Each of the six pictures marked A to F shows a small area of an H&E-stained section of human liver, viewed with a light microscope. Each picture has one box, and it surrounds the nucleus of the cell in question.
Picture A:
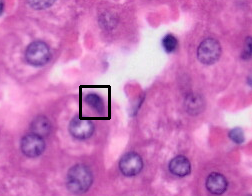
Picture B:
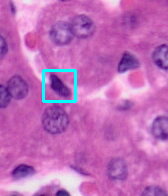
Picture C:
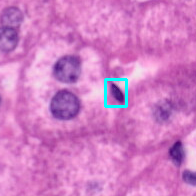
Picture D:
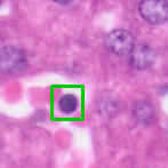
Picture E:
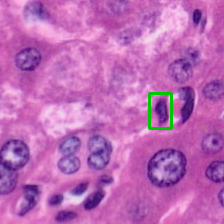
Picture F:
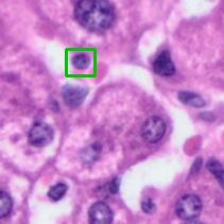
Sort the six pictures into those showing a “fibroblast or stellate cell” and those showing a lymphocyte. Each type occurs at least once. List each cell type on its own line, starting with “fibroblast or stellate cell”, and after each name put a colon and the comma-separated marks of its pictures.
fibroblast or stellate cell: A, B, C, E
lymphocyte: D, F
